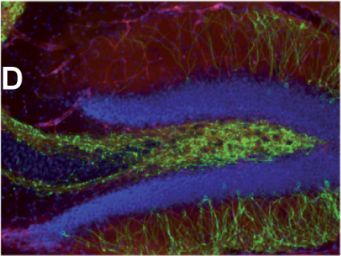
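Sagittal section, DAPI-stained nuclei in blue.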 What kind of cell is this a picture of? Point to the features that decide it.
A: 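Granule cells. A curved, V-shaped band of densely packed blue nuclei. Green fibers fill the region enclosed by the band.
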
